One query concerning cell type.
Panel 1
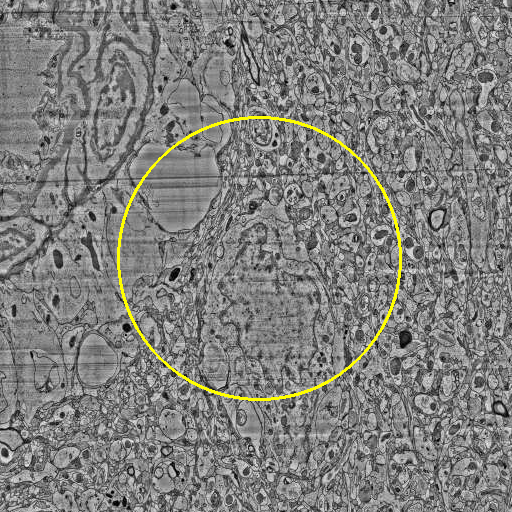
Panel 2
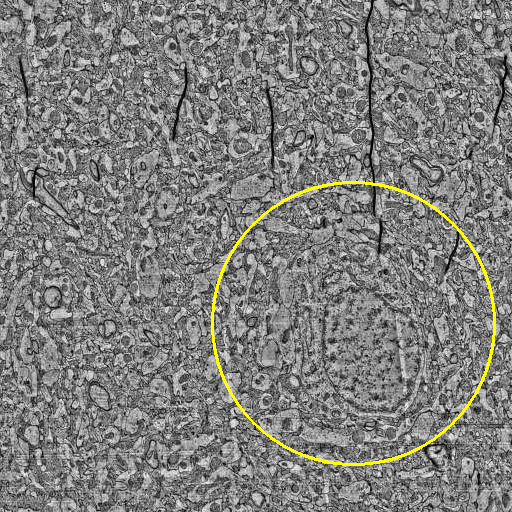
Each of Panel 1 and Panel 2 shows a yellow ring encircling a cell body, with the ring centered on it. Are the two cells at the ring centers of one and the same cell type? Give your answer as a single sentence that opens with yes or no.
Yes, the cell centered in Panel 1 and the one in Panel 2 share a type.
